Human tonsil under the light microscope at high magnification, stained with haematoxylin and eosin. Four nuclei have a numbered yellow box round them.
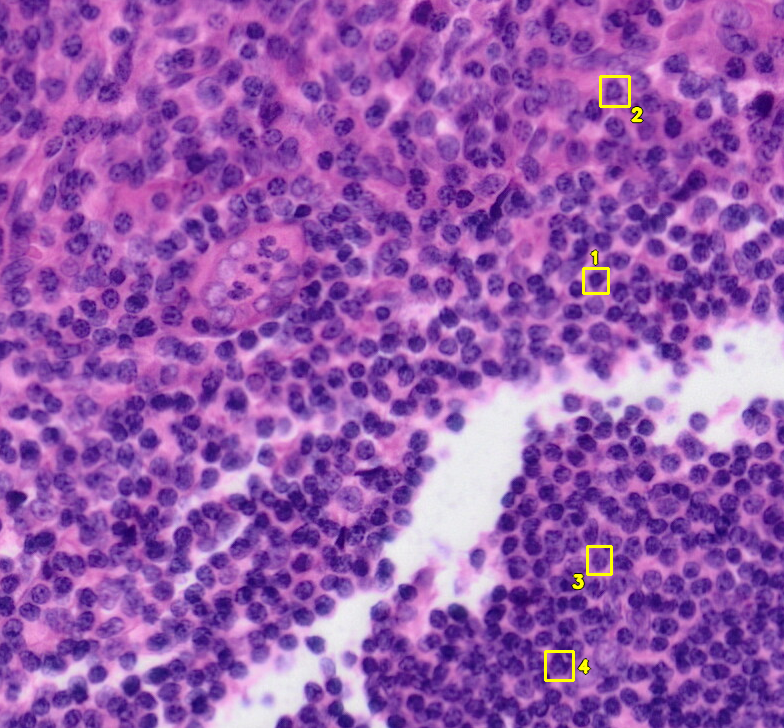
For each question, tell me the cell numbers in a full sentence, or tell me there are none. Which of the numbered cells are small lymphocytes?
The cells that have been numbered 1, 3 and 4 are small lymphocytes.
